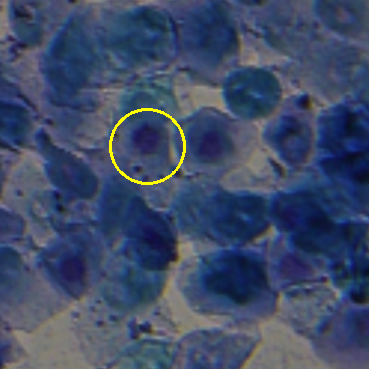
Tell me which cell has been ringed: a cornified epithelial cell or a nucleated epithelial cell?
It is a nucleated epithelial cell.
